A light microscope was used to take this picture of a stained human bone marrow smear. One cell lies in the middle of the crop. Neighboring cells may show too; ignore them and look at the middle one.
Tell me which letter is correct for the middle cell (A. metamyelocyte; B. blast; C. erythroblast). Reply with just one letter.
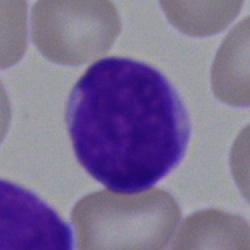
B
